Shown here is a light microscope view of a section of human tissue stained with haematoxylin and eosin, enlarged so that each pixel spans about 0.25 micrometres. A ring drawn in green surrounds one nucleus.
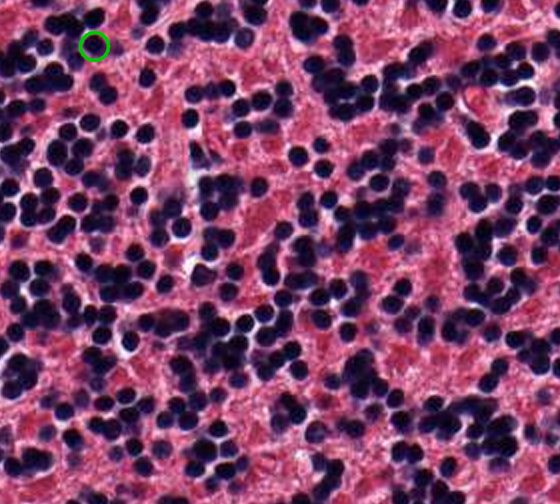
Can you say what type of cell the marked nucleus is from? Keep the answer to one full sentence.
It is a cerebellar granule cell that the marked nucleus belongs to.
